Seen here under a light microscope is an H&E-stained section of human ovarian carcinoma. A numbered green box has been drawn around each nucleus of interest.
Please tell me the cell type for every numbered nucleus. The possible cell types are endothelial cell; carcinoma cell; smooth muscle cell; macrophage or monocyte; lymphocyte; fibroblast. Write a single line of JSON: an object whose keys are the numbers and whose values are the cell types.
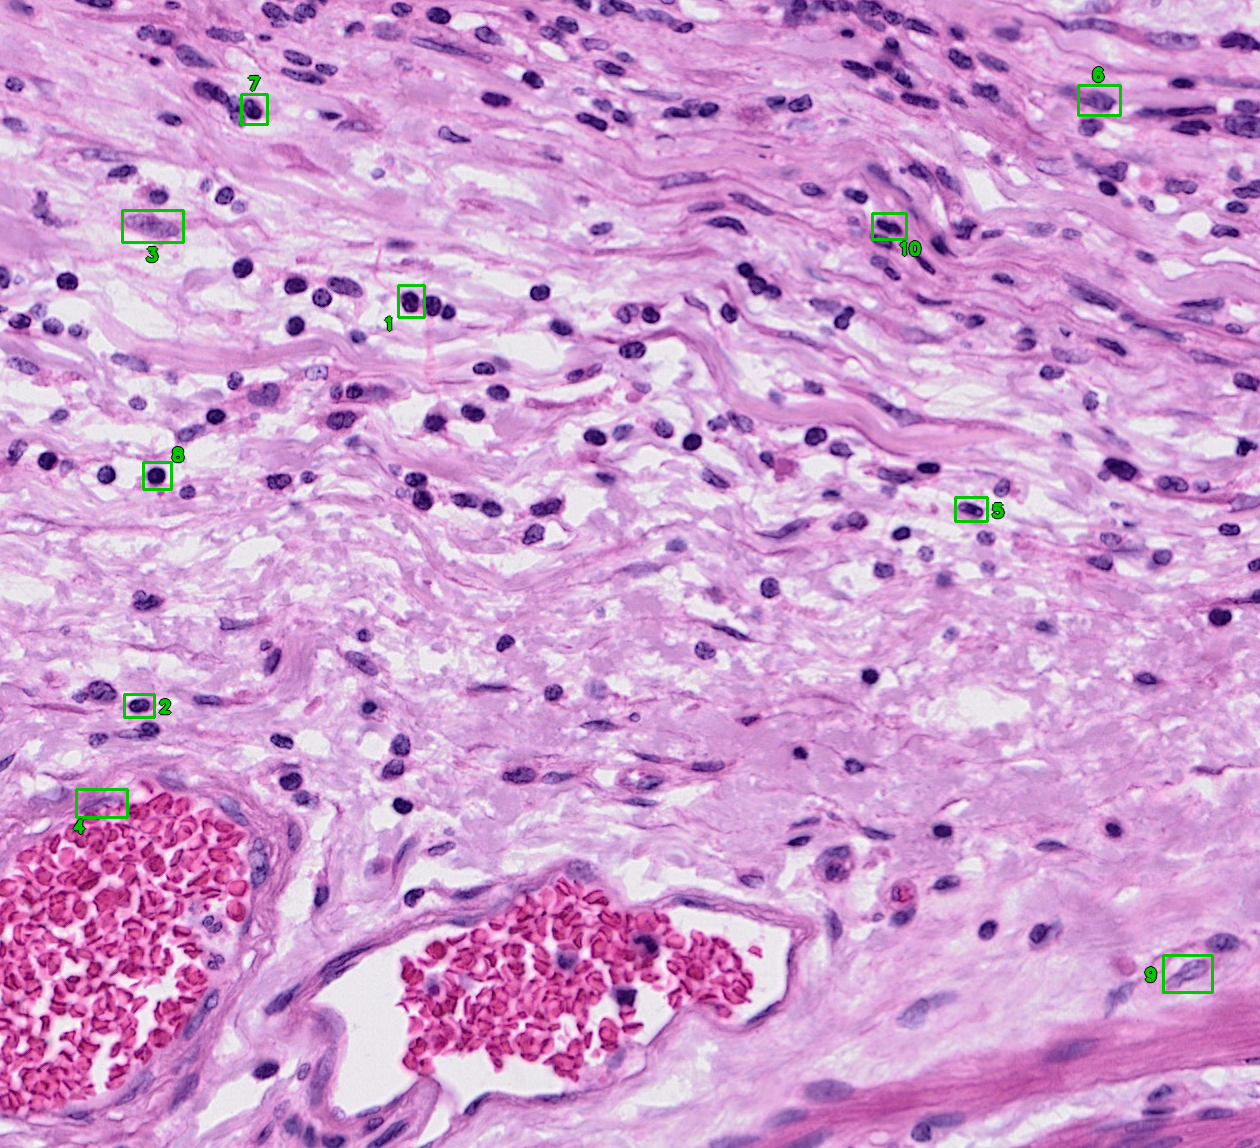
{"1": "lymphocyte", "2": "lymphocyte", "3": "fibroblast", "4": "endothelial cell", "5": "lymphocyte", "6": "macrophage or monocyte", "7": "lymphocyte", "8": "lymphocyte", "9": "endothelial cell", "10": "lymphocyte"}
